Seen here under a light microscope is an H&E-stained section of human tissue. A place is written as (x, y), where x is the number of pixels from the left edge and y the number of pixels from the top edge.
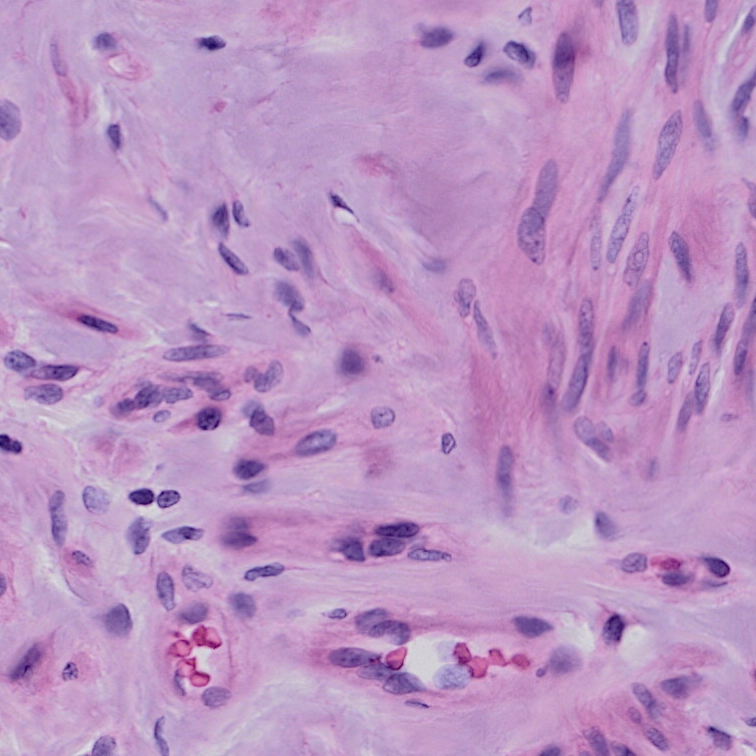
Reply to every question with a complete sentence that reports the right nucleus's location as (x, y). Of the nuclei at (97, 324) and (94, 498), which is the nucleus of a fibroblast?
Among the two nuclei, the one found at (94, 498) belongs to a fibroblast.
